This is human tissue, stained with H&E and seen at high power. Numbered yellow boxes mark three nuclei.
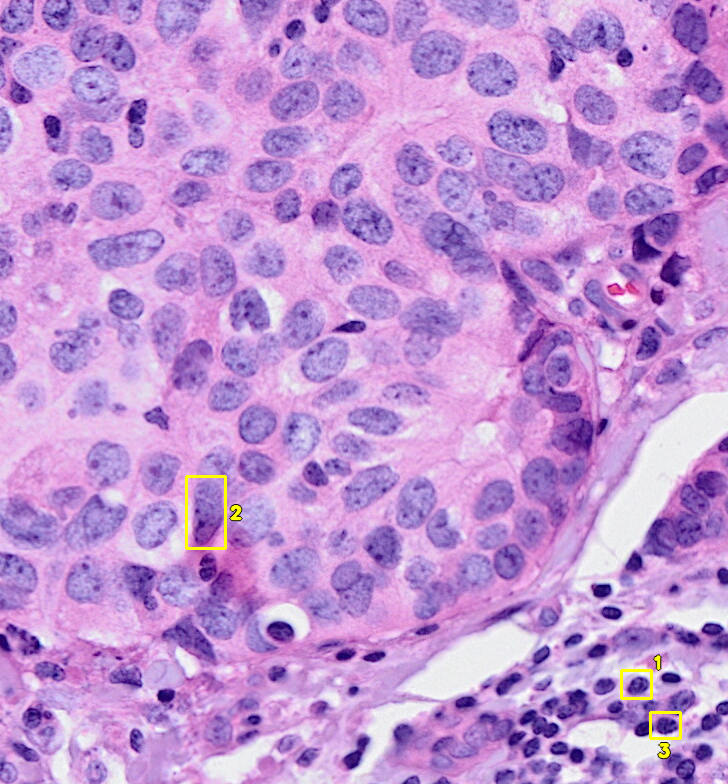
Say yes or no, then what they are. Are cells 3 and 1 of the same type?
Yes, both are lymphocytes.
